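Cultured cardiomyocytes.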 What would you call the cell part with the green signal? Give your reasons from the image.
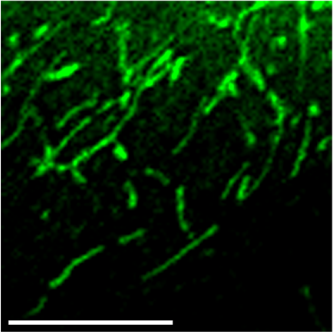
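Mitochondria. Short green rods and dots of organelle size are scattered in the cytoplasm. Some rods are beaded or swollen at their ends.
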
